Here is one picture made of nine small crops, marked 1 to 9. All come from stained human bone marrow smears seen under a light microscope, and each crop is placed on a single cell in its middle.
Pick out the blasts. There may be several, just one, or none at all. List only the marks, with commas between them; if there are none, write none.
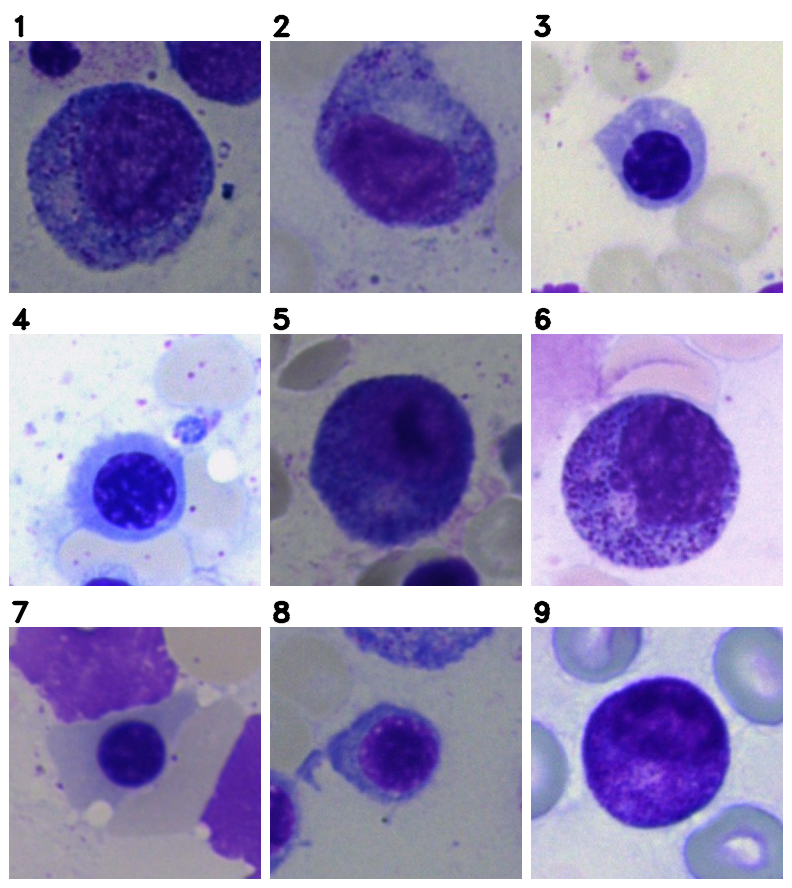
none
